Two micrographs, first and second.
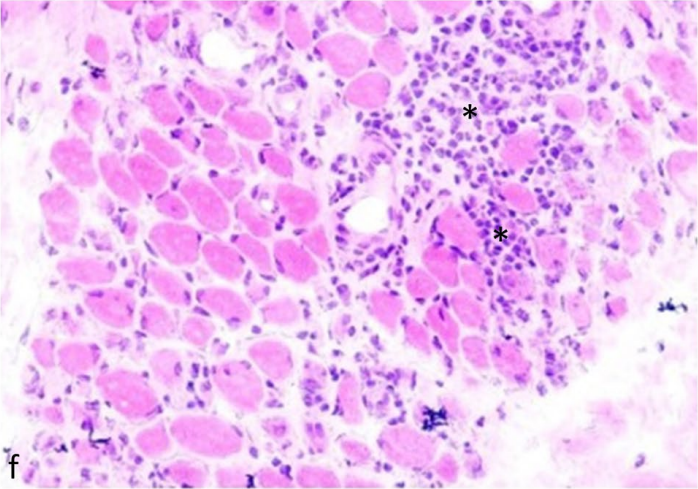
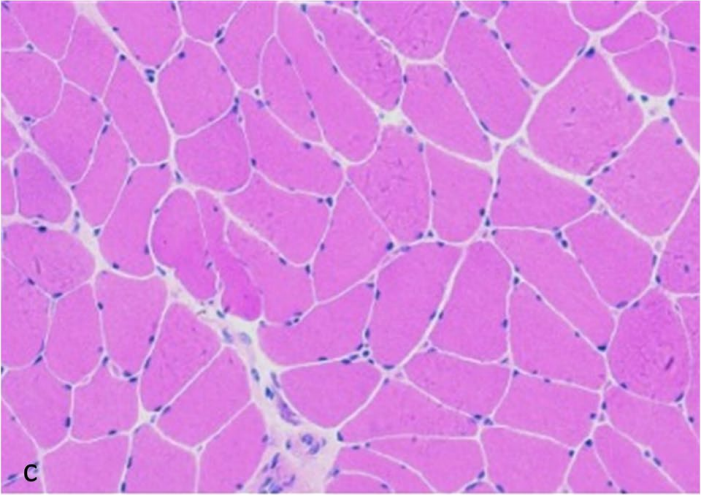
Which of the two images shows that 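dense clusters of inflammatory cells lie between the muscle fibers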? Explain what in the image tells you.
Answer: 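The first image. First image: crowds of small dark round nuclei fill the spaces between and around the fibers. Second image: fibers are closely packed, with thin gaps and only scattered nuclei at fiber edges.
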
